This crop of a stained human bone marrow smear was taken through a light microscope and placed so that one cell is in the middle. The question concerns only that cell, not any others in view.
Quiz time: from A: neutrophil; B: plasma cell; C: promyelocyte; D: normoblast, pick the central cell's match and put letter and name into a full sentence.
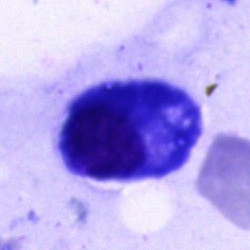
The central cell, a plasma cell, is correctly identified by option B.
